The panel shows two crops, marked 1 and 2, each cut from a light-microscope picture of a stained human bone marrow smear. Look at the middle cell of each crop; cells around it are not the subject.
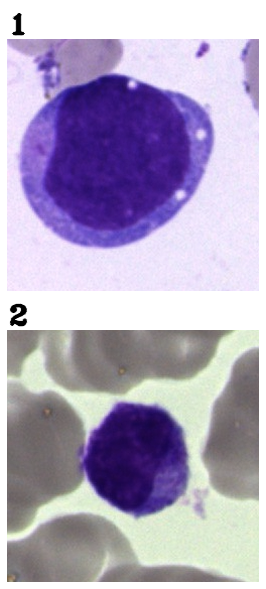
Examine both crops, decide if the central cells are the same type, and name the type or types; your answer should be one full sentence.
No, the cell centred in crop 2 is a lymphocyte; crop 1 centres on a blast.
